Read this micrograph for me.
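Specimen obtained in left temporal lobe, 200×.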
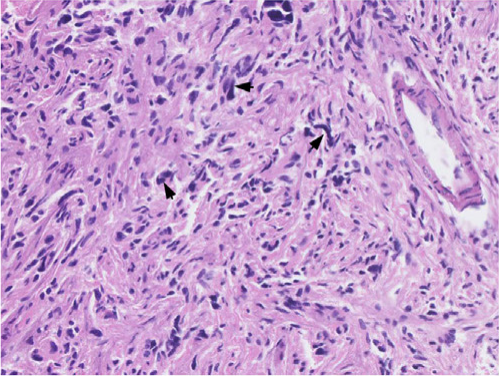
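This section shows a densely cellular tumor made of spindle-shaped cells lying in a haphazard, loosely interwoven pattern within a pink fibrillary background. The nuclei are dark purple and vary strongly in size and shape, many being elongated, some irregular and large. Several especially dark, irregular nuclei stand out among the others. The cytoplasm is pale pink and the cell borders are indistinct.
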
